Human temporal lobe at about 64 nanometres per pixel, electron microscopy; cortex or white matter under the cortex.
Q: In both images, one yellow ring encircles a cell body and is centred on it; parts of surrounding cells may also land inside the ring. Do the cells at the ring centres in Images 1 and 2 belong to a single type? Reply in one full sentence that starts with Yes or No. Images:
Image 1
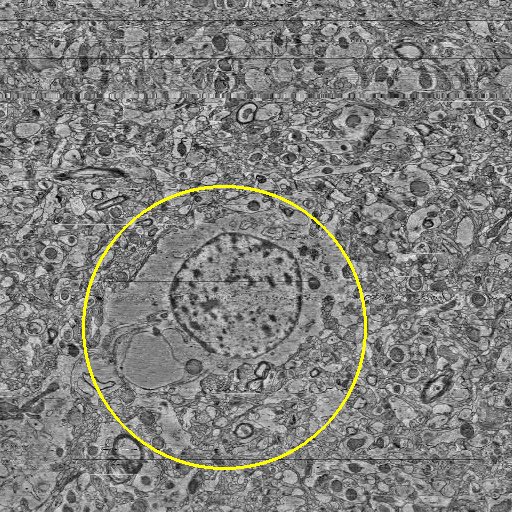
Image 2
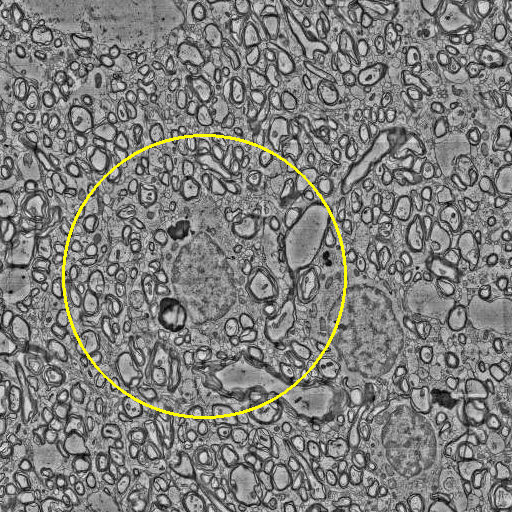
No, the cells at the ring centres in Images 1 and 2 are of two types.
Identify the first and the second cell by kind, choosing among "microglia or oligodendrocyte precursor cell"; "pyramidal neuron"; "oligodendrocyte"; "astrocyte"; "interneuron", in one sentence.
The one in the first picture is an astrocyte, while the one in the second is an oligodendrocyte.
